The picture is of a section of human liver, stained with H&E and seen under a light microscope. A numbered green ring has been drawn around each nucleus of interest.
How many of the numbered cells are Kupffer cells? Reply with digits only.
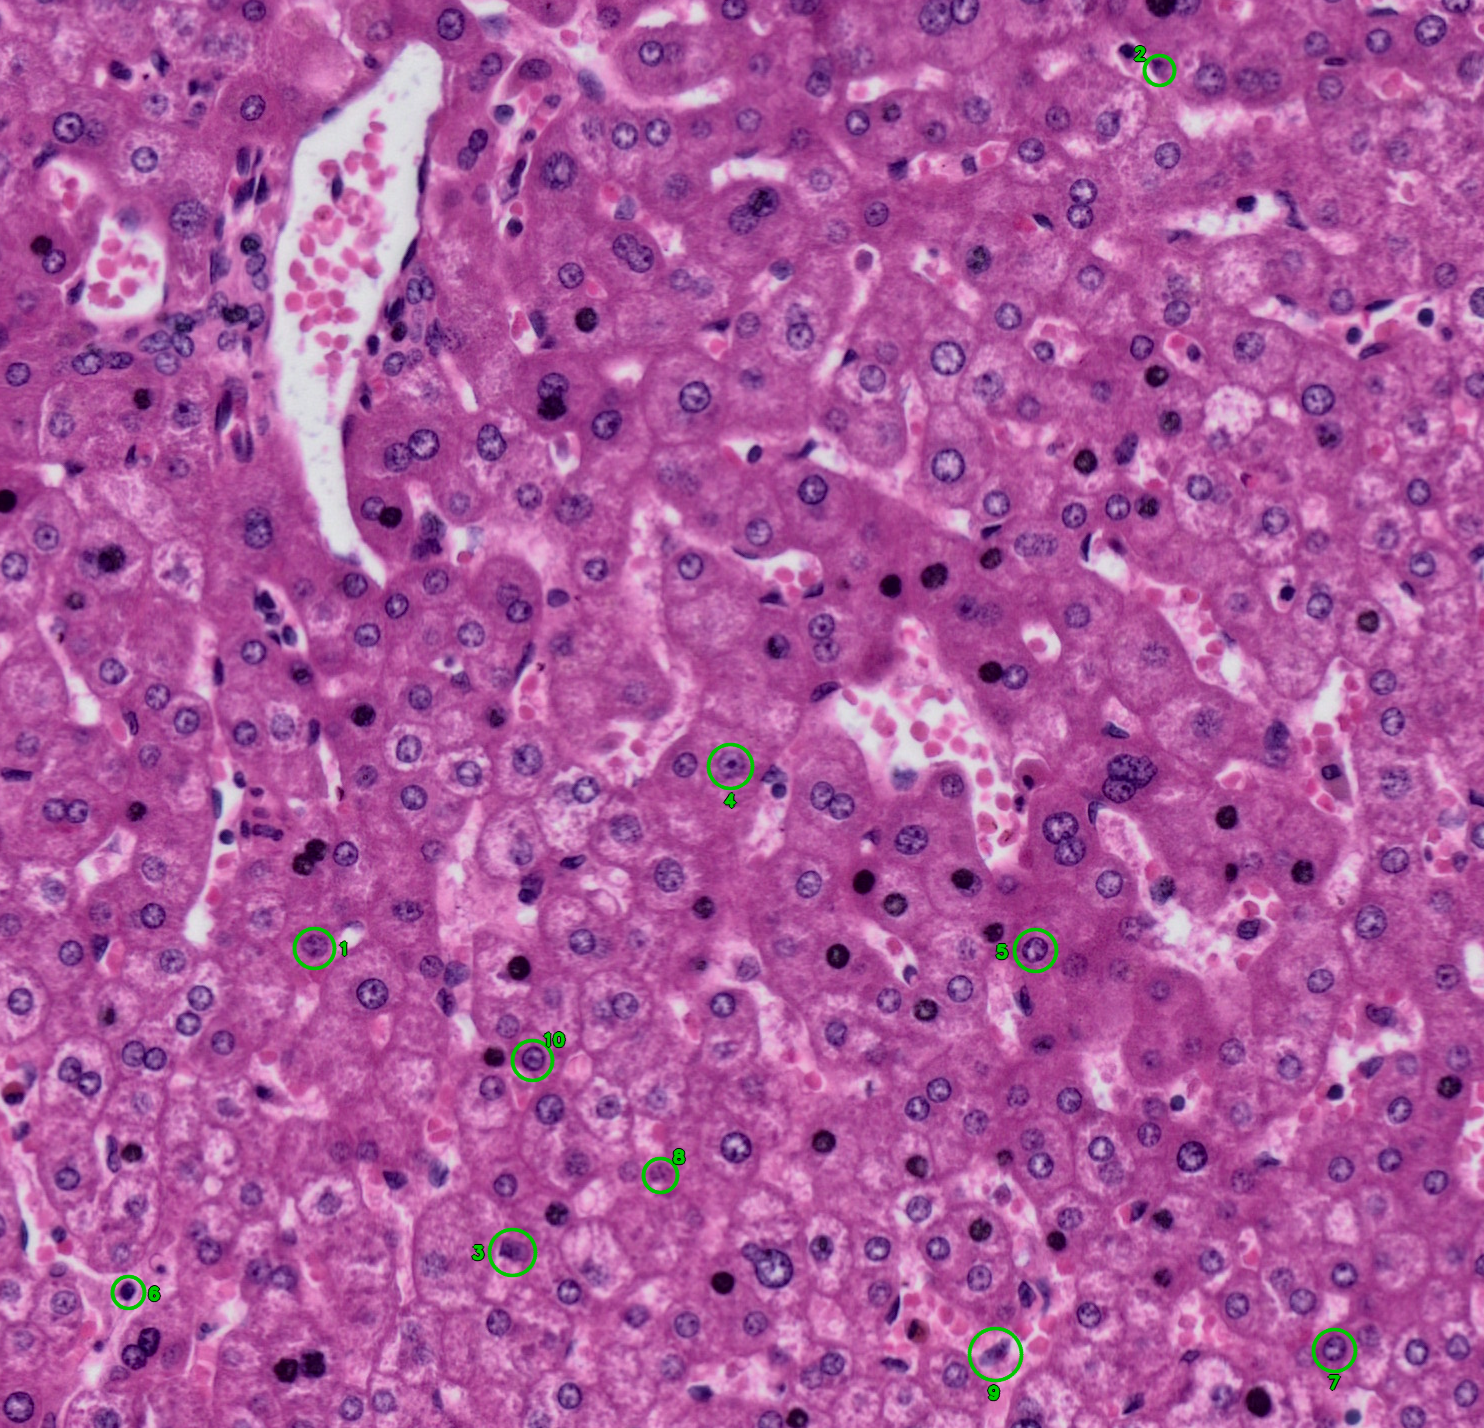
1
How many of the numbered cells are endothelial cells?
2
